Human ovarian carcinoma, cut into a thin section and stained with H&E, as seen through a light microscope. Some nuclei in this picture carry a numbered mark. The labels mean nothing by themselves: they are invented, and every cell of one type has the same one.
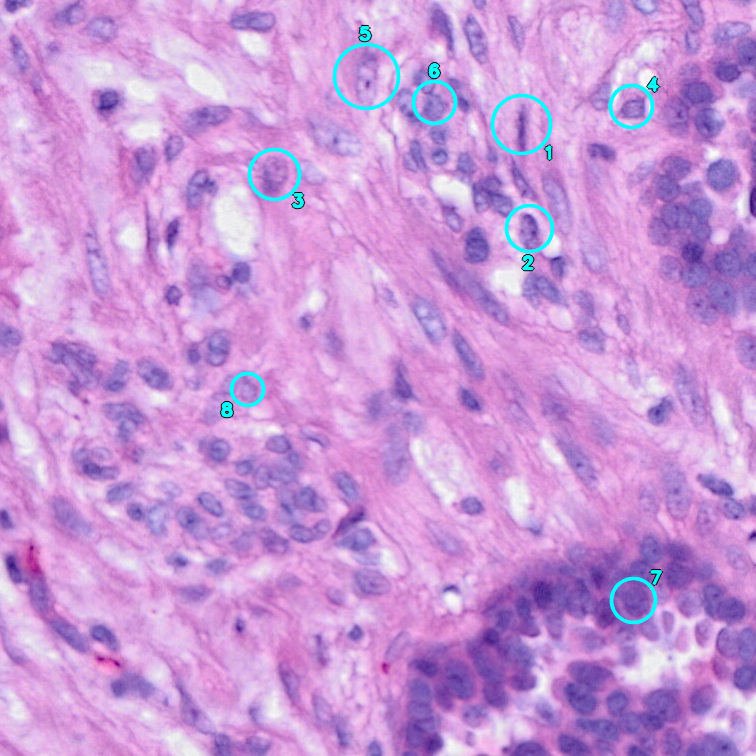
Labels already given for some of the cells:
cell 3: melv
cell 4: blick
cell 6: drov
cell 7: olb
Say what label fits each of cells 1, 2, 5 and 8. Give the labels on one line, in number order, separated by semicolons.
melv; blick; melv; melv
